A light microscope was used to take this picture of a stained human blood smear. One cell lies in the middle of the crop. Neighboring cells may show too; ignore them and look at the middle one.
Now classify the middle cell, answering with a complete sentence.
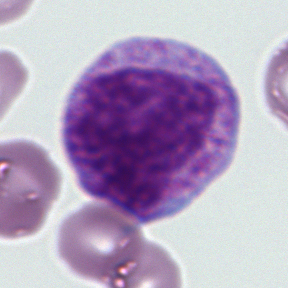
The cell centred in this crop is categorized as an atypical promyelocyte.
